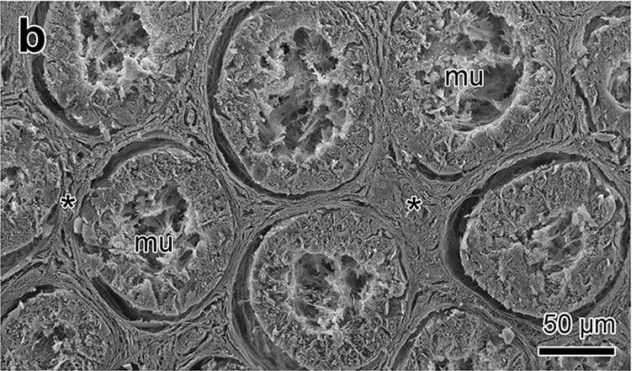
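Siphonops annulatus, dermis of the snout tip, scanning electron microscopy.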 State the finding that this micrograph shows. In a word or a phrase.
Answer: honeycomb appearance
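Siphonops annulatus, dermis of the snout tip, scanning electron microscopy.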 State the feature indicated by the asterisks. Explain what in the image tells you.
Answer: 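Collagen walls. The asterisks lie in the fibrous tissue between round glands. This tissue has a fibrous, layered texture. It surrounds each round gland like a frame.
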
